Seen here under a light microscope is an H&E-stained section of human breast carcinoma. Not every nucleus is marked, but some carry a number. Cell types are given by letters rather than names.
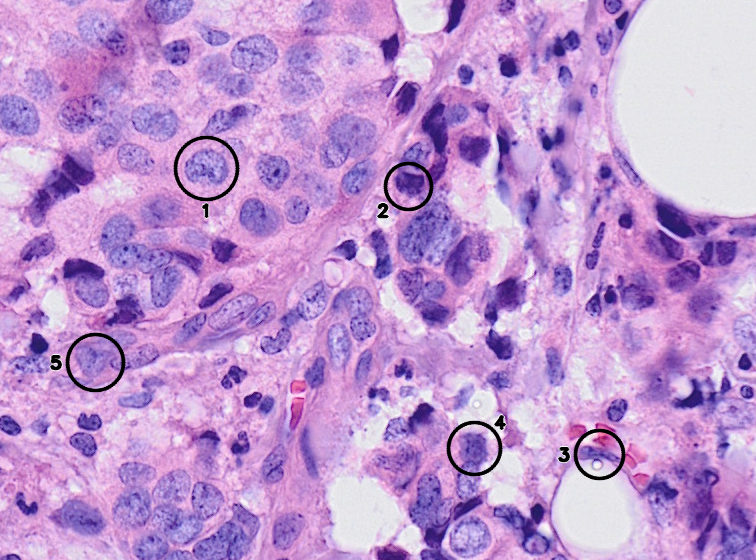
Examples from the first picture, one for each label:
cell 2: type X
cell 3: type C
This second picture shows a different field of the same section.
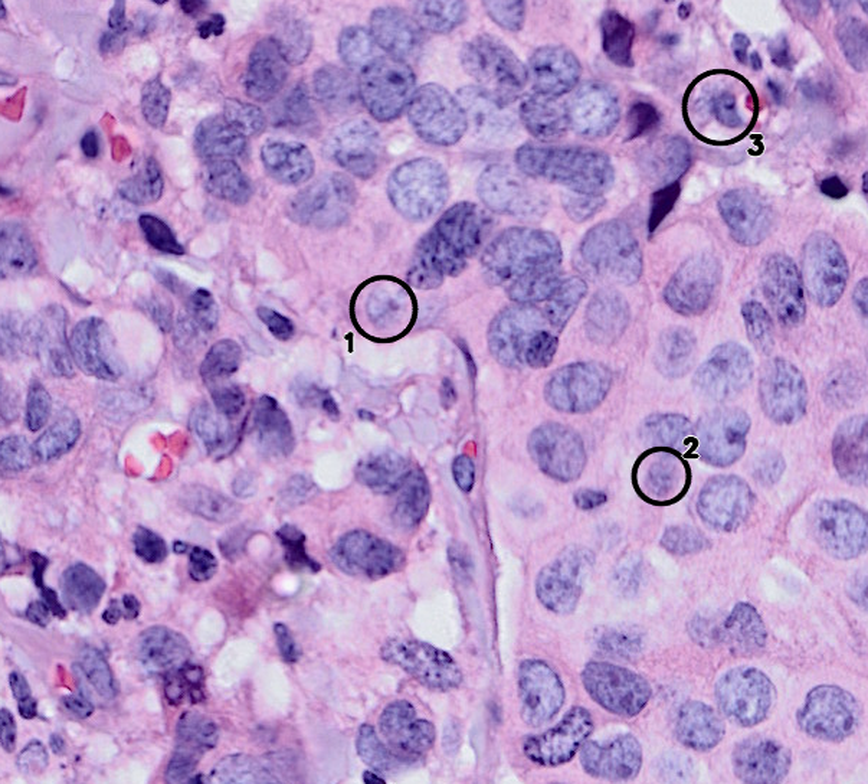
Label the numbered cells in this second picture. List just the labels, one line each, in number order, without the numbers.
type X
type X
type C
